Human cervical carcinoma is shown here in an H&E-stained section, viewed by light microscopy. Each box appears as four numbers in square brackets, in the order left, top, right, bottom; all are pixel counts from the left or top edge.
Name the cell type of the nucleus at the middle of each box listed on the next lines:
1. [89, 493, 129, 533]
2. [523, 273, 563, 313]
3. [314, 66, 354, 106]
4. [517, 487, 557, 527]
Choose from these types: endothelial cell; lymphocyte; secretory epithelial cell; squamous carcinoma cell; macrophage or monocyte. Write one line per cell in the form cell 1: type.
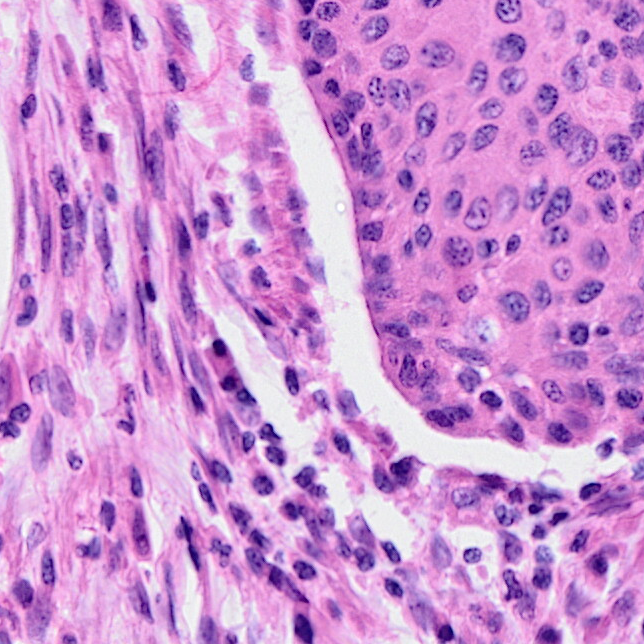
cell 1: lymphocyte
cell 2: squamous carcinoma cell
cell 3: squamous carcinoma cell
cell 4: lymphocyte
